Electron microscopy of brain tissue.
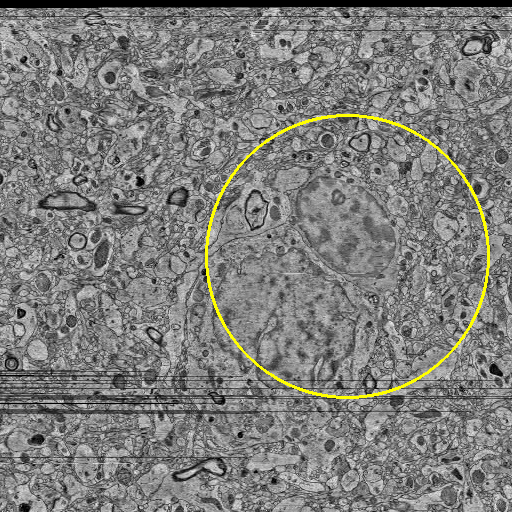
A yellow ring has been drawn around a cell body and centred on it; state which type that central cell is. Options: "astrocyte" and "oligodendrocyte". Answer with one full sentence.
The cell at the middle of the yellow ring is an oligodendrocyte in this picture.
